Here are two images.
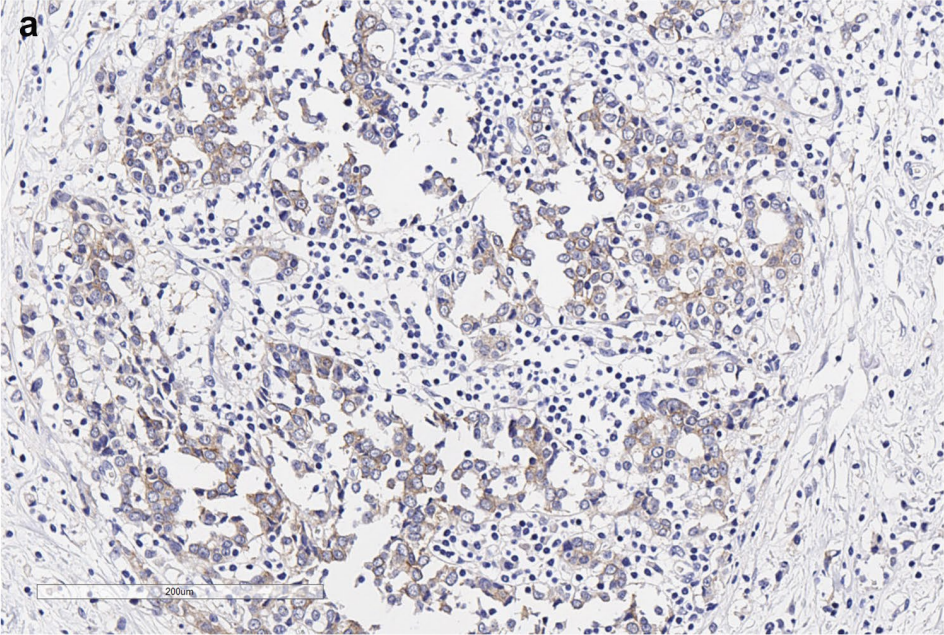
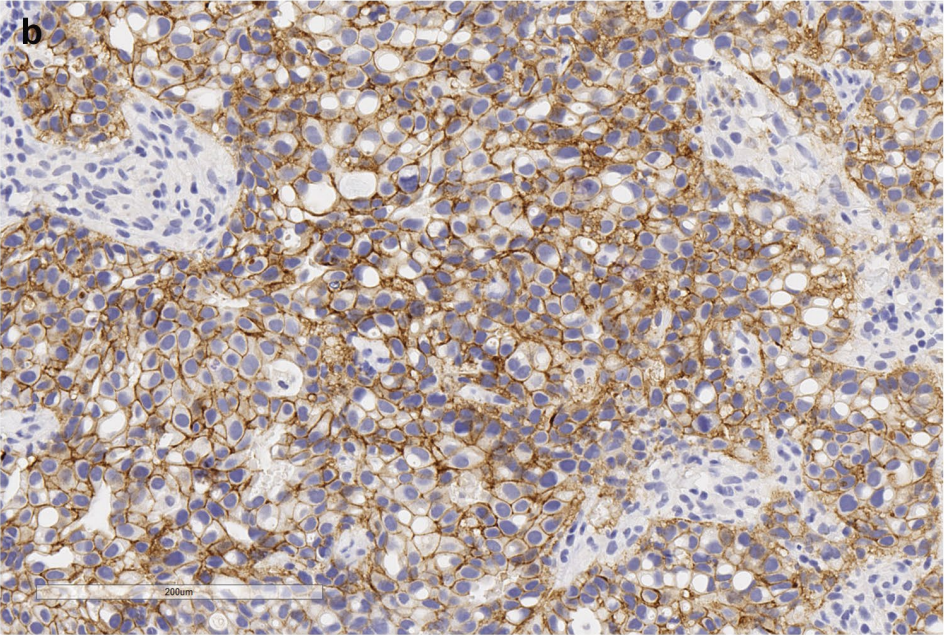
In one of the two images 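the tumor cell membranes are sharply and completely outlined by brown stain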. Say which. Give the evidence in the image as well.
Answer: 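The second image. First image: tumor cells show only a faint, patchy brownish tinge without continuous outlines. Second image: nearly every tumor cell is ringed by a continuous brown line, forming a chicken-wire pattern.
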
